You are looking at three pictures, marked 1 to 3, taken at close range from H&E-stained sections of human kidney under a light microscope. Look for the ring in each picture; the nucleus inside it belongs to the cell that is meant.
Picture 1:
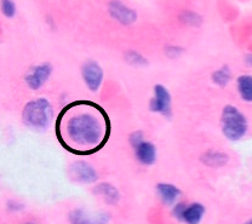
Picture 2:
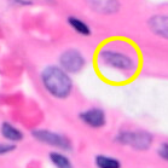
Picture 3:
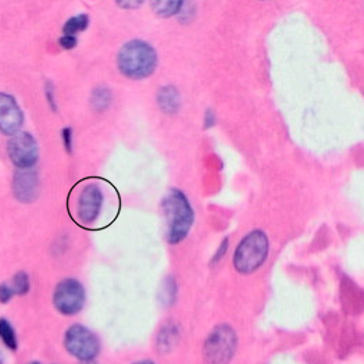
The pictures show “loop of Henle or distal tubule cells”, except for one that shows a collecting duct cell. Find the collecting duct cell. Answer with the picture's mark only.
2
